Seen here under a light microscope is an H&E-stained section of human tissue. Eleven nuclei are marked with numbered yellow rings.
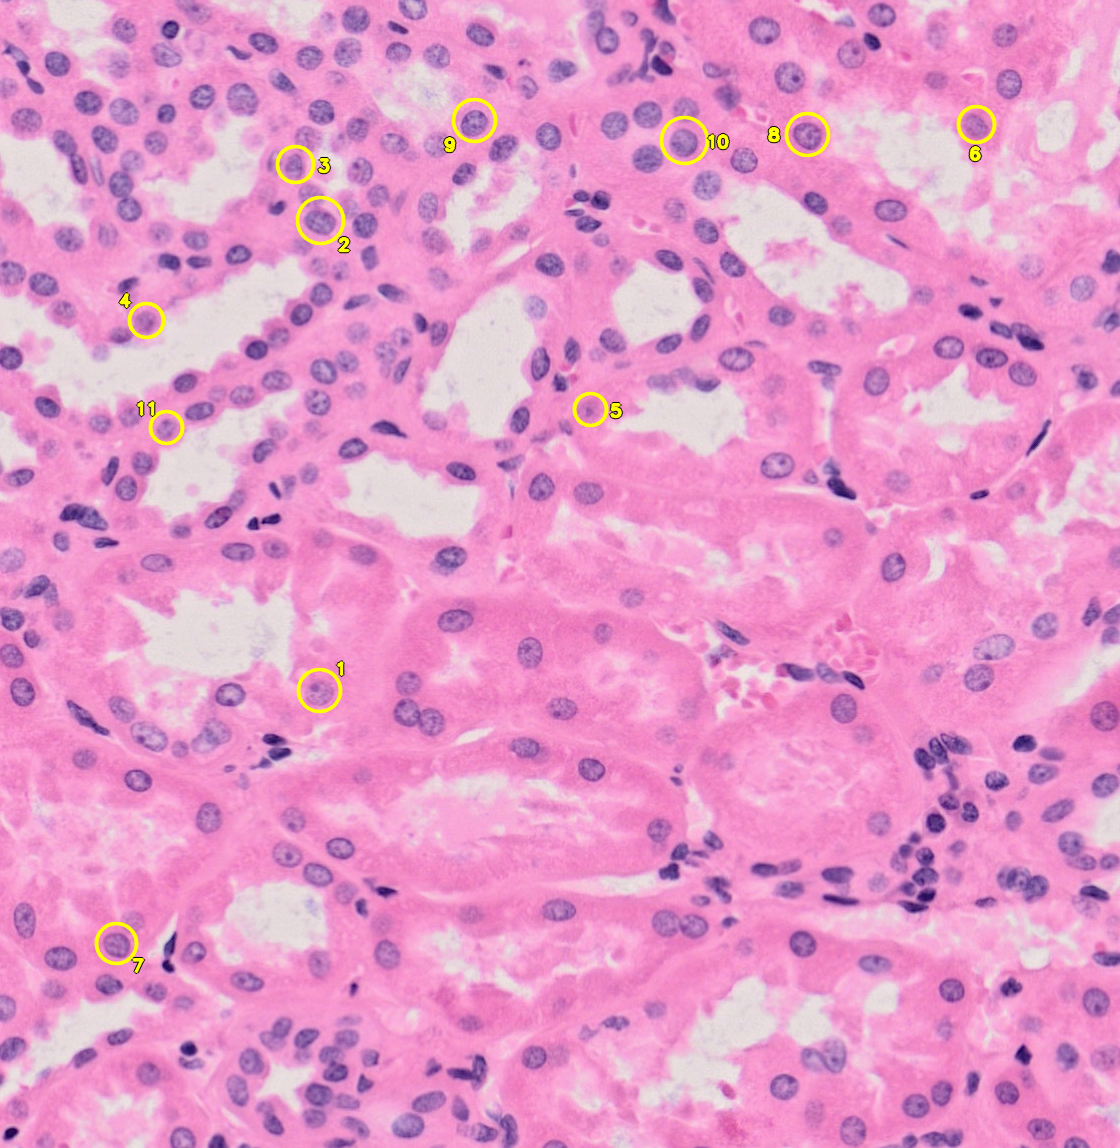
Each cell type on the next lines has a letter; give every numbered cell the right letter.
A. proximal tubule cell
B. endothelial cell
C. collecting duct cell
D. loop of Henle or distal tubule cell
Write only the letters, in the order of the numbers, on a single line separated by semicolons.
A; D; D; D; A; A; A; A; D; D; D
